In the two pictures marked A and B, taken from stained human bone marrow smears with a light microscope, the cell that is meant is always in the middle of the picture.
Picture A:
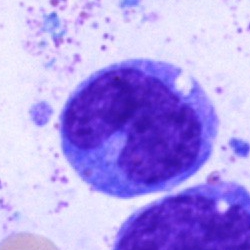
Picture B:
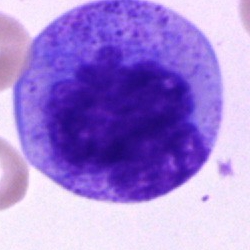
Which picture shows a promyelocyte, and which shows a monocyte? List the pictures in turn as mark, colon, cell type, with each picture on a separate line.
A: monocyte
B: promyelocyte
